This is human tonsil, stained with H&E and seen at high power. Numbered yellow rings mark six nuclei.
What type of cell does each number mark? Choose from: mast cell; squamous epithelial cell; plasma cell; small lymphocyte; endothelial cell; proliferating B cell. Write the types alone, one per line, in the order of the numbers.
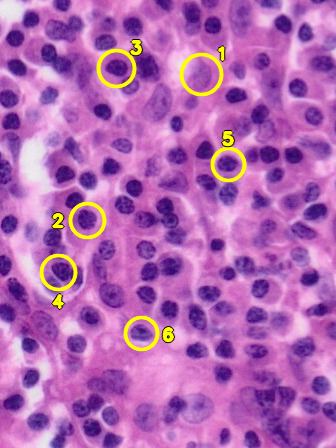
squamous epithelial cell
plasma cell
plasma cell
plasma cell
plasma cell
squamous epithelial cell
